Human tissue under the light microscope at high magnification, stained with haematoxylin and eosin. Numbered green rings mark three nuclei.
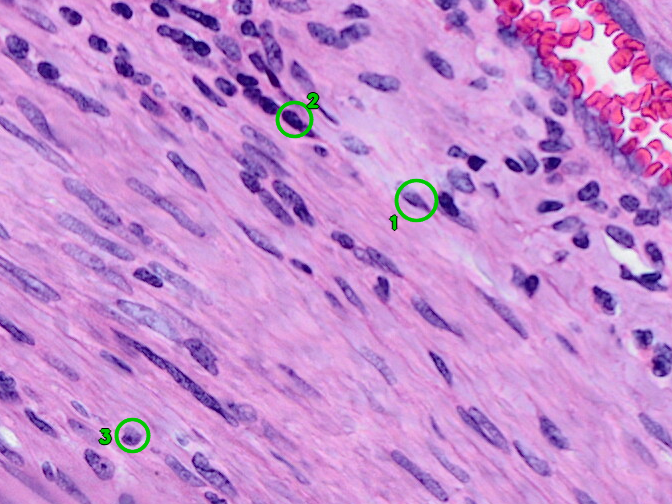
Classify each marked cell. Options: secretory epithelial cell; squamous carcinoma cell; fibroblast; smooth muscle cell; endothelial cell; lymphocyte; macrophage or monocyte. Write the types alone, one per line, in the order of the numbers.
fibroblast
lymphocyte
lymphocyte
